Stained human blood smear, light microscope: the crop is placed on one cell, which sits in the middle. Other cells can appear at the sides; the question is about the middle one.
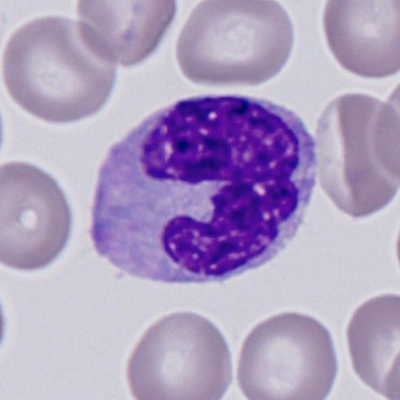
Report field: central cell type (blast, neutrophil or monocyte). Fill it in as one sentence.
The cell positioned in the middle of the field is a monocyte.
